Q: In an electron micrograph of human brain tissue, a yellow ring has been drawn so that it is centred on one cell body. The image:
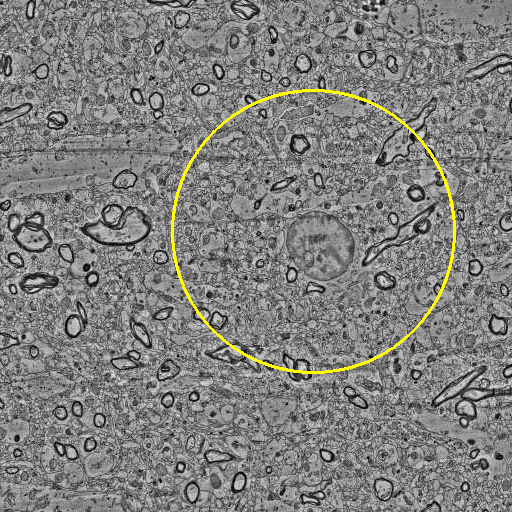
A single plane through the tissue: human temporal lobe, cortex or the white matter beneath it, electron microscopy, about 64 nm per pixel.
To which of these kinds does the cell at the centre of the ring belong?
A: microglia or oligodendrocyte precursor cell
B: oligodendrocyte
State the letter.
B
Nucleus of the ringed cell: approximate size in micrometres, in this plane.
Roughly 4 micrometres across, measured in this plane.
